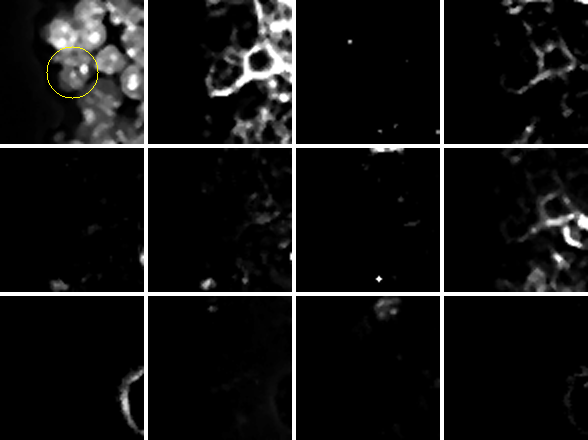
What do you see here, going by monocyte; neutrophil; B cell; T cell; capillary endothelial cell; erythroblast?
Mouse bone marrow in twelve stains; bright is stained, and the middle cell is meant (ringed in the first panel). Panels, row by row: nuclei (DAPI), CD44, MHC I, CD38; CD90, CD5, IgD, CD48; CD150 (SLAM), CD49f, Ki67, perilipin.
I see a neutrophil.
